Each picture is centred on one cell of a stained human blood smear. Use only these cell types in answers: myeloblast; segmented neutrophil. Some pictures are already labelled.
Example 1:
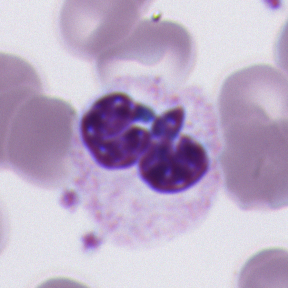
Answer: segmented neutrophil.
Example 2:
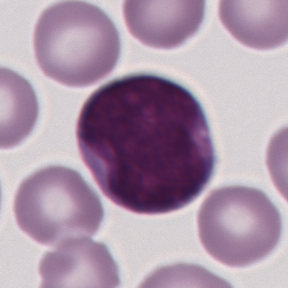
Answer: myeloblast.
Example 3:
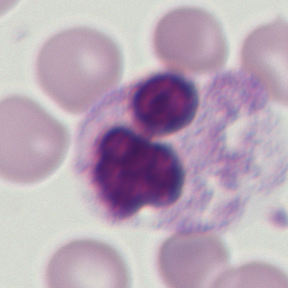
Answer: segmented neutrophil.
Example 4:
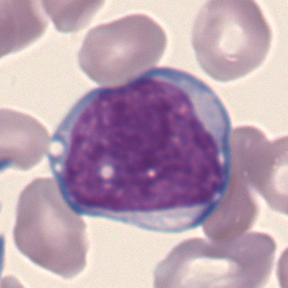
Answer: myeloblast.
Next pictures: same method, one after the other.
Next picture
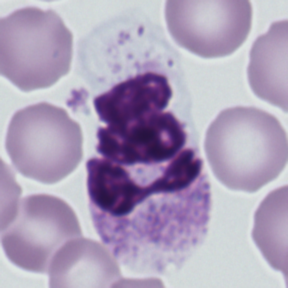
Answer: segmented neutrophil.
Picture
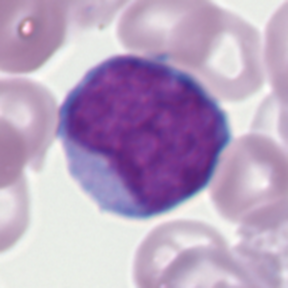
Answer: myeloblast.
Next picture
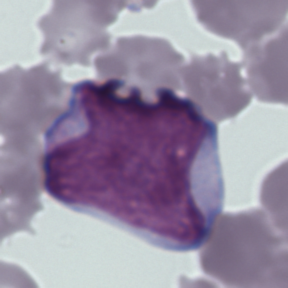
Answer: myeloblast.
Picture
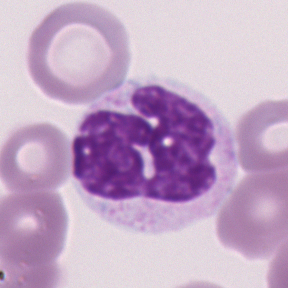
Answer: segmented neutrophil.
